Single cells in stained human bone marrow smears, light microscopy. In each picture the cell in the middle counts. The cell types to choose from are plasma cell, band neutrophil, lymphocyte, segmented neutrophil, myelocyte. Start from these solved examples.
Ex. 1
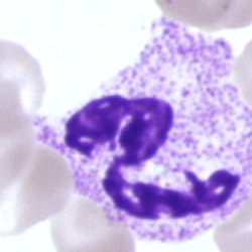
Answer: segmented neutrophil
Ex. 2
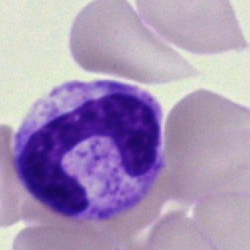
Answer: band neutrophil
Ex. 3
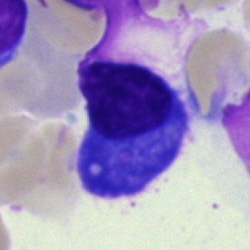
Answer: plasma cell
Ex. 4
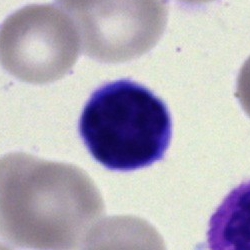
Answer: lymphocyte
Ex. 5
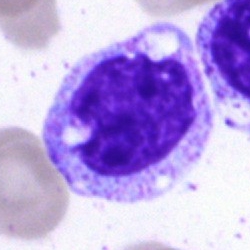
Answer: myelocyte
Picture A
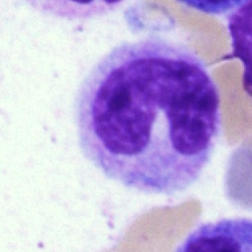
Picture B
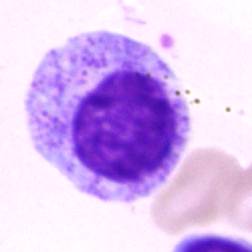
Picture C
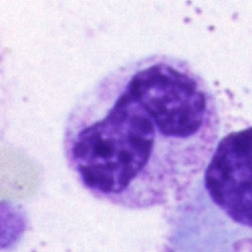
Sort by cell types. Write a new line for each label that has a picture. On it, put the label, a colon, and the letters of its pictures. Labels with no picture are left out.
band neutrophil: A, C
myelocyte: B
